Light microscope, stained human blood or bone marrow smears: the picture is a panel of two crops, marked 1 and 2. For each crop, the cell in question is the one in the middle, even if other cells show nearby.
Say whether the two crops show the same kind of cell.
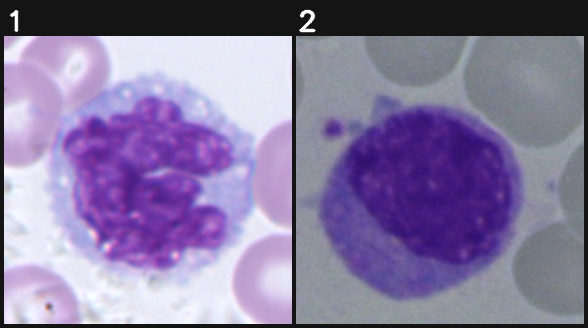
yes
